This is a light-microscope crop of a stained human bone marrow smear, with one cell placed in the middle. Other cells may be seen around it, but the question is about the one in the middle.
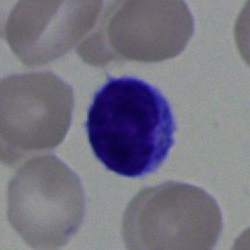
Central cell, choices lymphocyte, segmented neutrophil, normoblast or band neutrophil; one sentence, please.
The middle cell in this particular crop is a lymphocyte.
